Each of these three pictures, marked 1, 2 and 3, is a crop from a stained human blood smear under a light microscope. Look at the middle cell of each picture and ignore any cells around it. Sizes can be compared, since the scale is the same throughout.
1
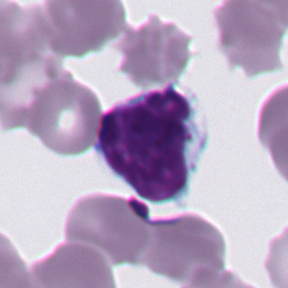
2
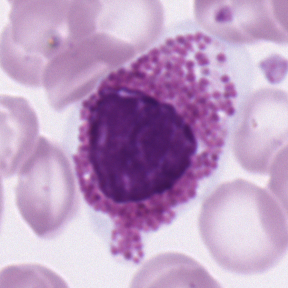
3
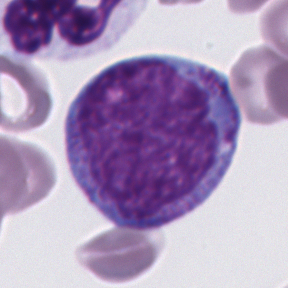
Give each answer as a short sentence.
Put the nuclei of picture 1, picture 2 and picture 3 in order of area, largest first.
Largest first: 3, 2, 1.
